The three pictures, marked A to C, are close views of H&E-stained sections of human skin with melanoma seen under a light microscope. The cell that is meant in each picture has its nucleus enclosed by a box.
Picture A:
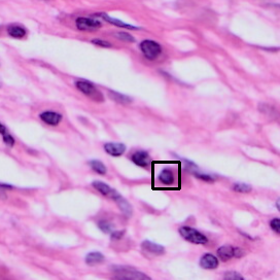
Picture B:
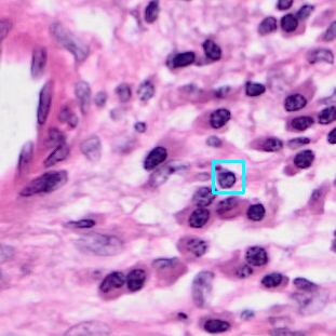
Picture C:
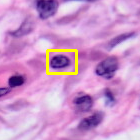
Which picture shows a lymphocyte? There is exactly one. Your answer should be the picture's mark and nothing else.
B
